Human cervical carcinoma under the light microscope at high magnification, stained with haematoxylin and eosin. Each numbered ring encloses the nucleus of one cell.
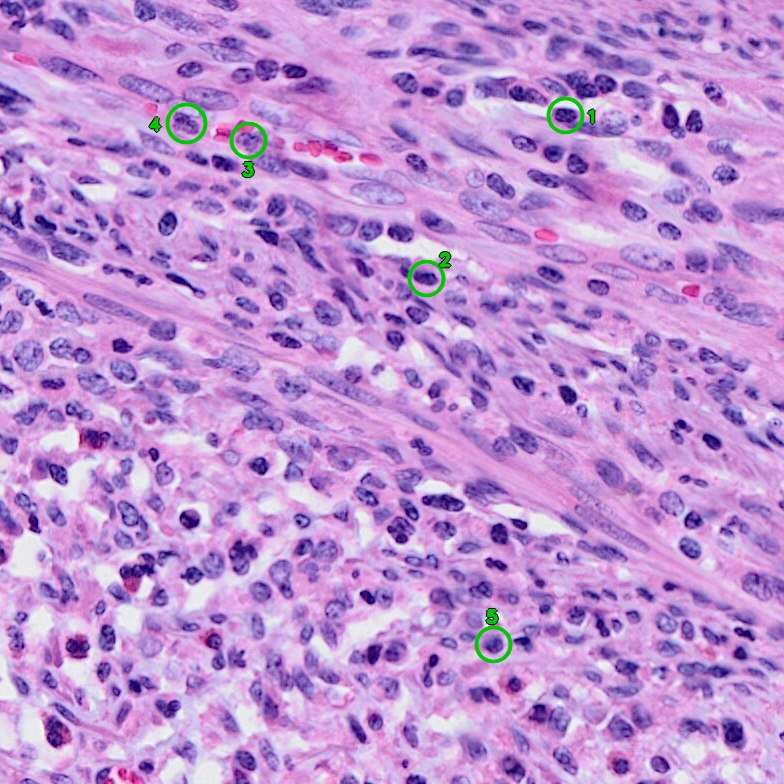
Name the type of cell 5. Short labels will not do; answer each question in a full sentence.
The nucleus labelled 5 belongs to a lymphocyte.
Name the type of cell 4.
Cell 4 in the field is an endothelial cell.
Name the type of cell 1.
That cell with number 1 is a lymphocyte.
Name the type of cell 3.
Belonging to an endothelial cell is the nucleus that carries the number 3.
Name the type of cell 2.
The cell referenced by the number 2 is a lymphocyte in this field.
